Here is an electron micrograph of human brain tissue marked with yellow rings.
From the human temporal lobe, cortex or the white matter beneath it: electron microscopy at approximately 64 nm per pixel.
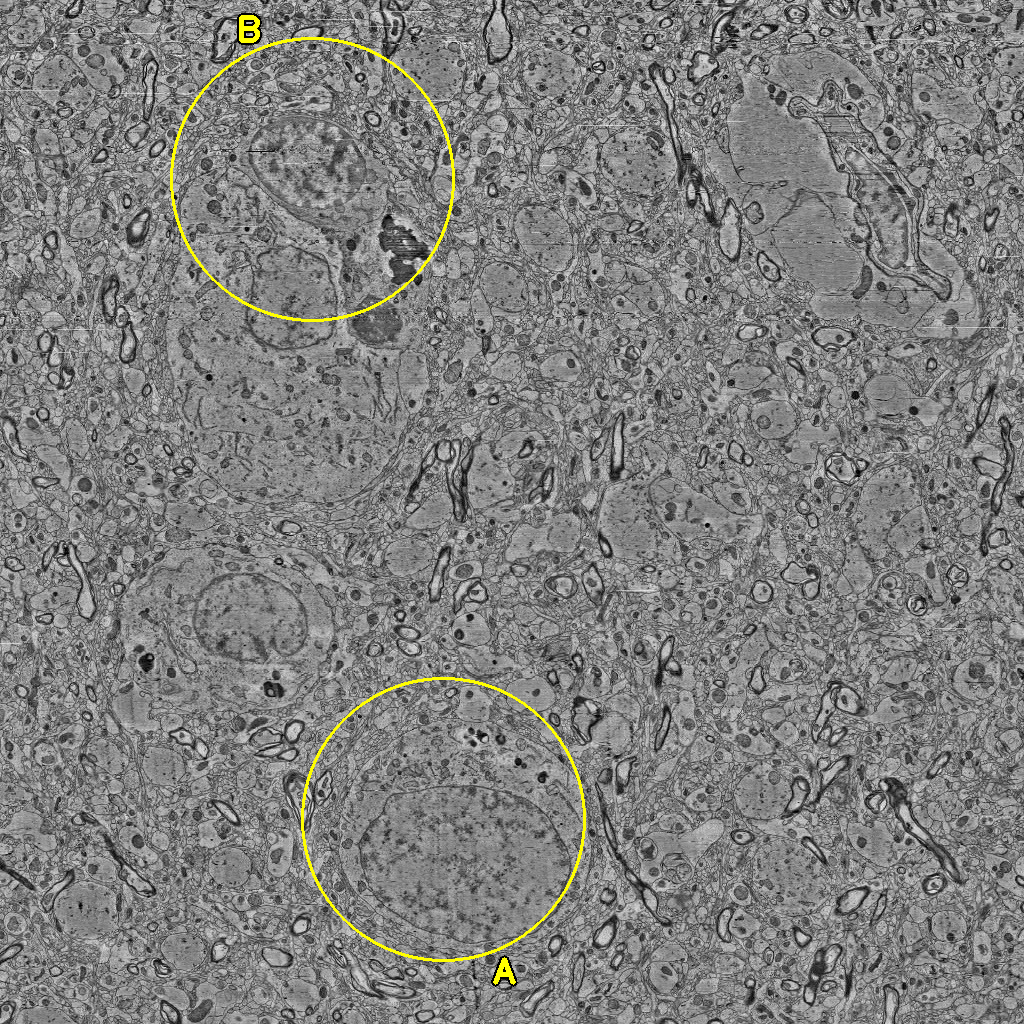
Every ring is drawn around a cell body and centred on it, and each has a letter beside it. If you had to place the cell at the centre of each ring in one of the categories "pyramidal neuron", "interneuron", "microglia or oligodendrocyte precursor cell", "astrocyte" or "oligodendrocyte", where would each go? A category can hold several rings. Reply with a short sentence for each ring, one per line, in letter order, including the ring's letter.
The centre of ring A holds a pyramidal neuron.
The centre of ring B holds an oligodendrocyte.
